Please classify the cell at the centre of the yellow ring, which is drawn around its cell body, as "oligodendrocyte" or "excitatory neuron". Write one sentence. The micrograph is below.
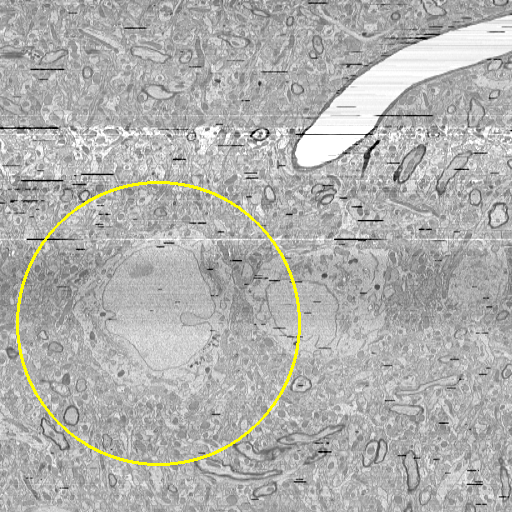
The cell at the ring's centre is classified as an excitatory neuron.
